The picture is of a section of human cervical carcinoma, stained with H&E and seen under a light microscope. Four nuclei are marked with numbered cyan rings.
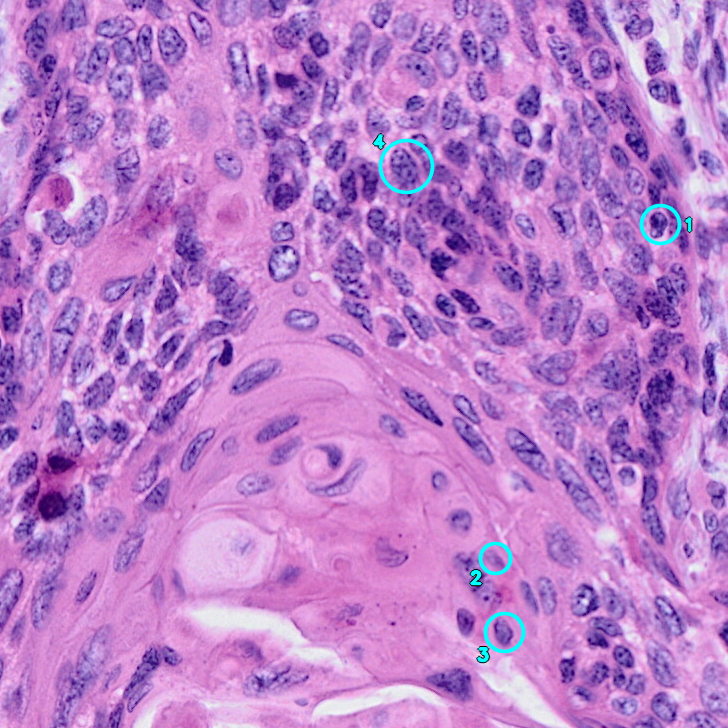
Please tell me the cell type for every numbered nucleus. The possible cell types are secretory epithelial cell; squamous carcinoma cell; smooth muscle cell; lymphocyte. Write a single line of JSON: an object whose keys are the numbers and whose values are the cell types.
{"1": "lymphocyte", "2": "squamous carcinoma cell", "3": "squamous carcinoma cell", "4": "squamous carcinoma cell"}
